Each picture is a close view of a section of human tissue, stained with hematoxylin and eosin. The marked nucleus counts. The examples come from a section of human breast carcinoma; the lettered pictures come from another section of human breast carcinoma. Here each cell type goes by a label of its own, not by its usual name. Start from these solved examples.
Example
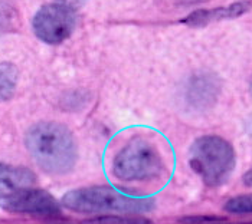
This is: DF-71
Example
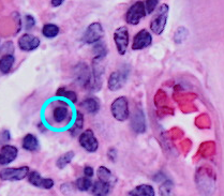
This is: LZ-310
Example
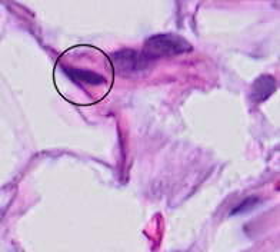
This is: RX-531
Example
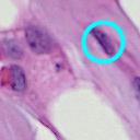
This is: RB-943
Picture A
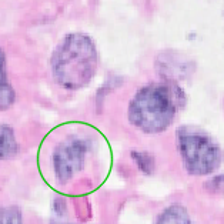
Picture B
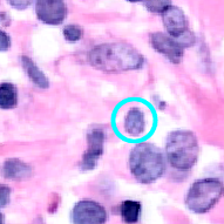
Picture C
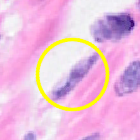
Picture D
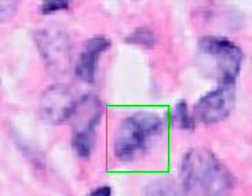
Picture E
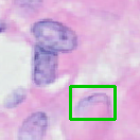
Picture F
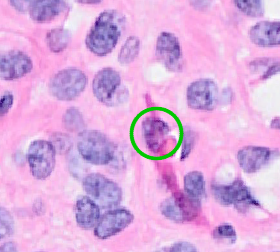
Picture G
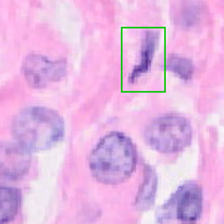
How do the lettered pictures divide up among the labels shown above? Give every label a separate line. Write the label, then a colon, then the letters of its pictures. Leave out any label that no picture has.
DF-71: D
LZ-310: B
RX-531: A, F
RB-943: C, E, G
